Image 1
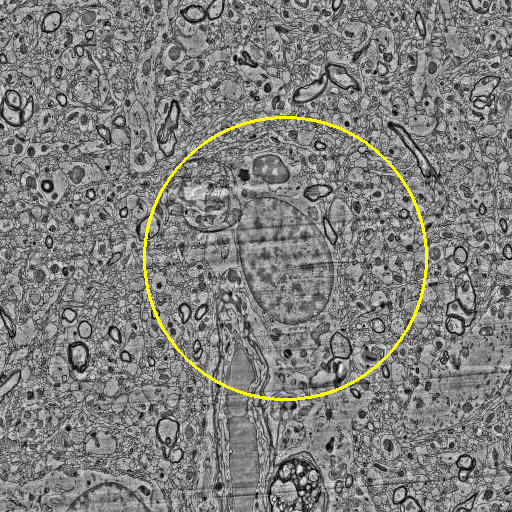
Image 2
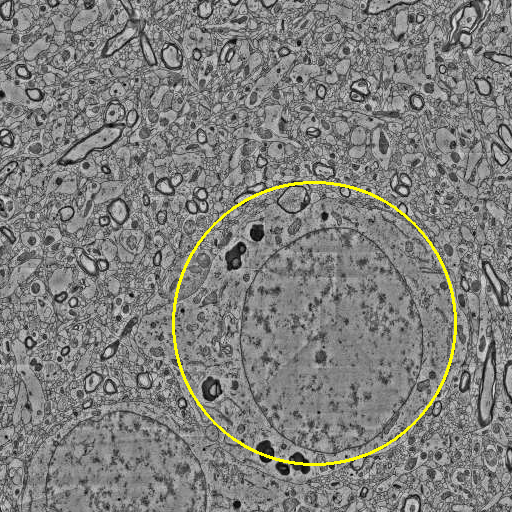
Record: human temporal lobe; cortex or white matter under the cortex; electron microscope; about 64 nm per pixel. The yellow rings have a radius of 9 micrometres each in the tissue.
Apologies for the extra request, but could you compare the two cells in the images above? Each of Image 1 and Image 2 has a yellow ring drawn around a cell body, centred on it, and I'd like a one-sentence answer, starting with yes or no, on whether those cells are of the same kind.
No, the two cells are of two kinds.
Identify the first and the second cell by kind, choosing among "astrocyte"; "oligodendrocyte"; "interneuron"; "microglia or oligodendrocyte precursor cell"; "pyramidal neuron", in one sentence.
The one in the first picture is an oligodendrocyte, while the one in the second is a pyramidal neuron.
